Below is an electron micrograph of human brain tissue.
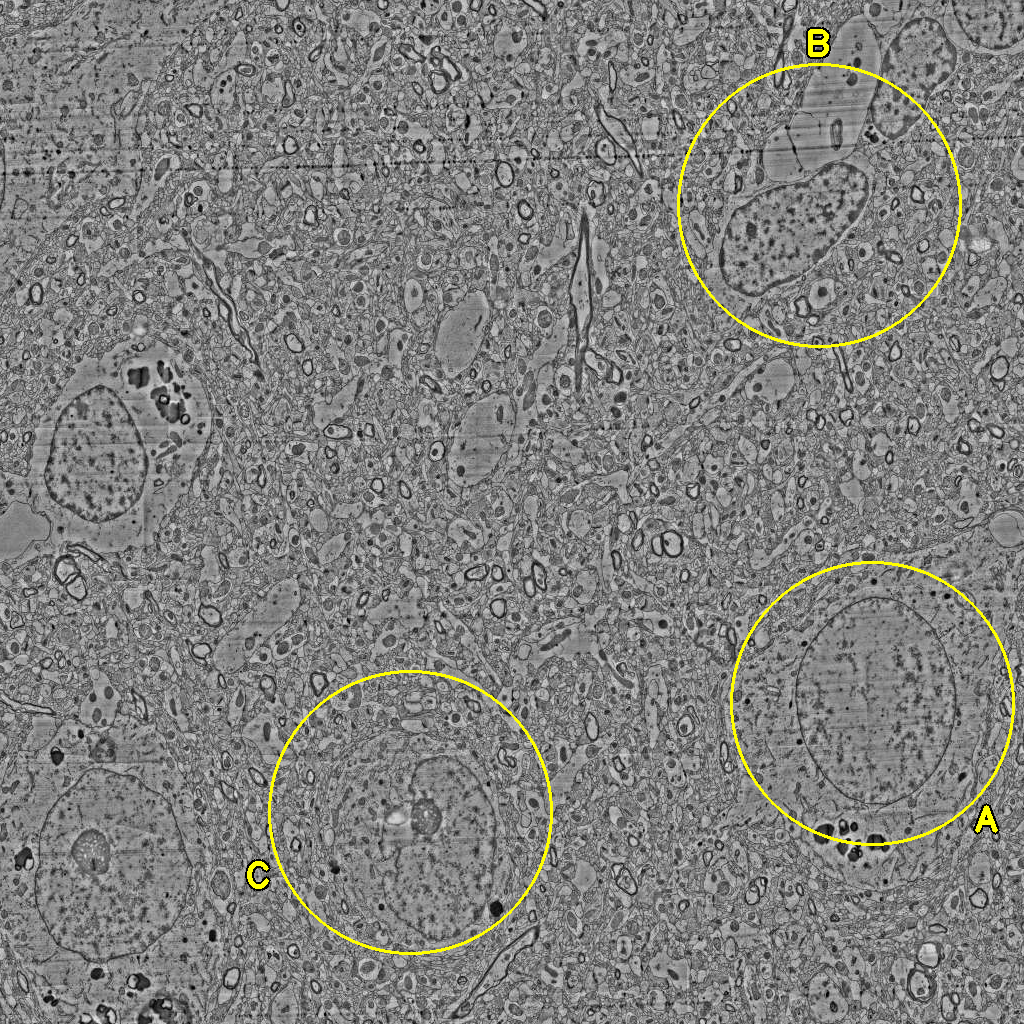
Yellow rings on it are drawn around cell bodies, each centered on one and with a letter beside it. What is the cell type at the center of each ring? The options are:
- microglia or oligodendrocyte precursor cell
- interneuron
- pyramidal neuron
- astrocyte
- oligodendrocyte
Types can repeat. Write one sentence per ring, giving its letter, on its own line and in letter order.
At the center of ring A is a pyramidal neuron.
At the center of ring B is a microglial cell or oligodendrocyte precursor cell.
At the center of ring C is an interneuron.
